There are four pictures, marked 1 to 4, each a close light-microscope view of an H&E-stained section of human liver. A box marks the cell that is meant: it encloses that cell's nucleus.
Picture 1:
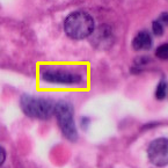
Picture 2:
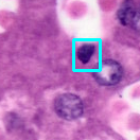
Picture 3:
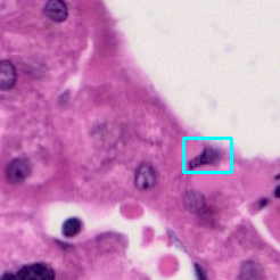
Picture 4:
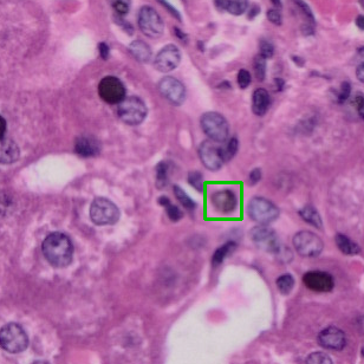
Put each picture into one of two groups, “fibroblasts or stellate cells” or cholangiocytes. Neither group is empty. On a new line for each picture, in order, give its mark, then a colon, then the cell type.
1: fibroblast or stellate cell
2: fibroblast or stellate cell
3: fibroblast or stellate cell
4: cholangiocyte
